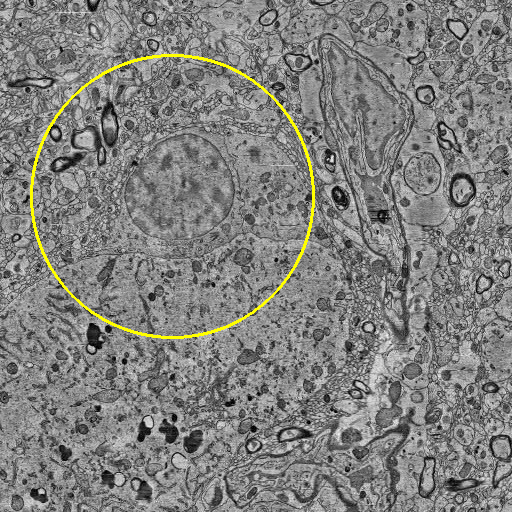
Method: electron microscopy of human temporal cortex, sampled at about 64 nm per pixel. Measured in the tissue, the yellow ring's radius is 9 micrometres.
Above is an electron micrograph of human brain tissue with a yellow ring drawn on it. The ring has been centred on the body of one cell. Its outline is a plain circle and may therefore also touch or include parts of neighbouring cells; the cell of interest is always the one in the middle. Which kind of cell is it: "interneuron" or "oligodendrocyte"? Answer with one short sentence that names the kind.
The ring's central cell body is that of an oligodendrocyte.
